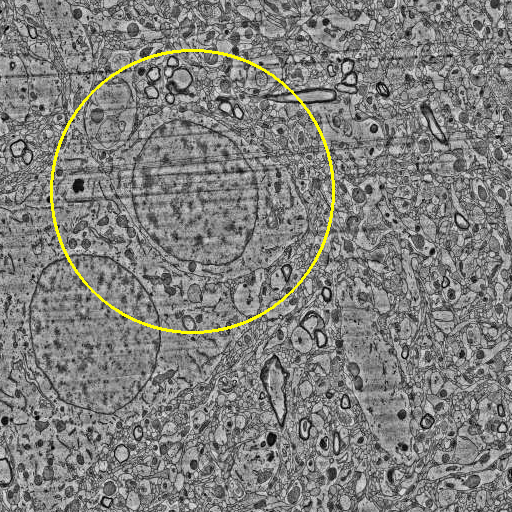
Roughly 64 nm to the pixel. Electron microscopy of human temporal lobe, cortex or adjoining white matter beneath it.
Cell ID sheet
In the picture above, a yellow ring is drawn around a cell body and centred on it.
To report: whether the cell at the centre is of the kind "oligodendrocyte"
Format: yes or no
no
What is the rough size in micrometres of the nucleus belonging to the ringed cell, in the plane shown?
The ringed cell's nucleus measures approximately 10 by 8 micrometres in this plane.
